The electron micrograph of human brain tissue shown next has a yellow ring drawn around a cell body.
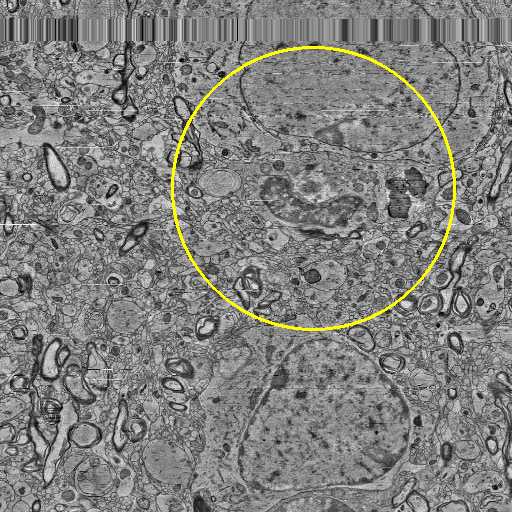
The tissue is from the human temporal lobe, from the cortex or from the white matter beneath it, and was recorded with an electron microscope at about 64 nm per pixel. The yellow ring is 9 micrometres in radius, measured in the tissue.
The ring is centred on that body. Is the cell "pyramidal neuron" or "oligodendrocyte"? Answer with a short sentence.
The cell in question is an oligodendrocyte.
